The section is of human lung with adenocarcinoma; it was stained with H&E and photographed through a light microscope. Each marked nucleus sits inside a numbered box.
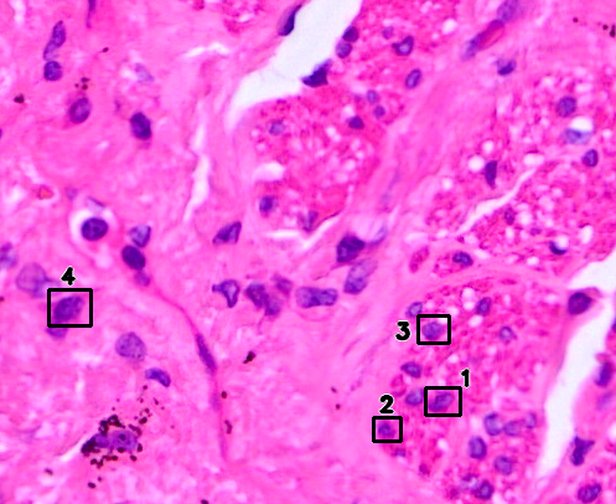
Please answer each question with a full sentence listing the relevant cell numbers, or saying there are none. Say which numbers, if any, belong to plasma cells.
Only the cell with number 4 is a plasma cell.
